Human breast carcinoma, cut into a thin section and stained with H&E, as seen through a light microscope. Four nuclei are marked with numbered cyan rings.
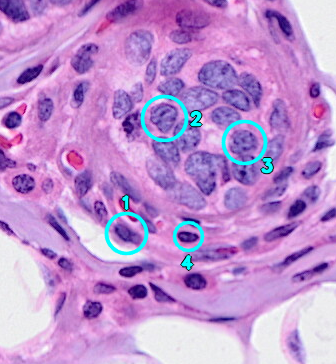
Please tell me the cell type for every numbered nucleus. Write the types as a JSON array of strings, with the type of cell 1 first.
["endothelial cell", "carcinoma cell", "carcinoma cell", "mast cell"]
